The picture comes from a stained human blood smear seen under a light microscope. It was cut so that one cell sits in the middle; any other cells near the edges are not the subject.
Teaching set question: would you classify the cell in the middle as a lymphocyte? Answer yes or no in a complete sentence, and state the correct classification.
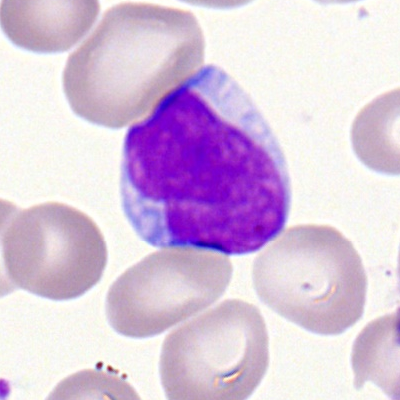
No, that would be a myeloblast, not a lymphocyte, for the cell at the centre.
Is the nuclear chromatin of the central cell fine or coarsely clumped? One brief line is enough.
Chromatin in the nucleus here is coarsely clumped.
